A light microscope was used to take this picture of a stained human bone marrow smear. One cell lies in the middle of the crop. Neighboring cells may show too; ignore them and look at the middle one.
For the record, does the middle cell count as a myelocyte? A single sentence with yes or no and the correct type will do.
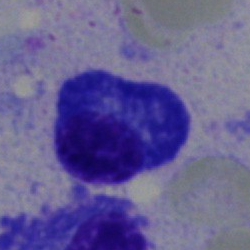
No, it is not a myelocyte that sits at the centre but a plasma cell.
